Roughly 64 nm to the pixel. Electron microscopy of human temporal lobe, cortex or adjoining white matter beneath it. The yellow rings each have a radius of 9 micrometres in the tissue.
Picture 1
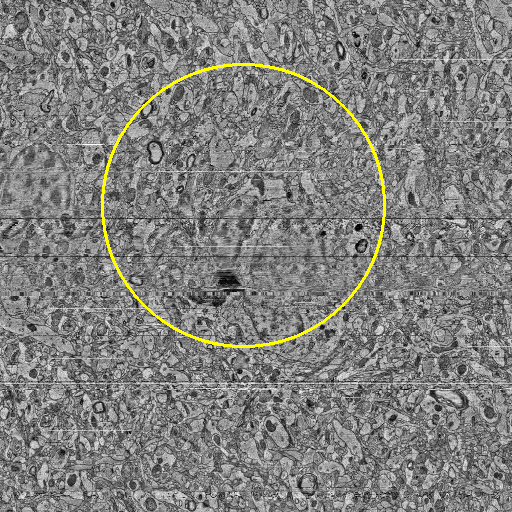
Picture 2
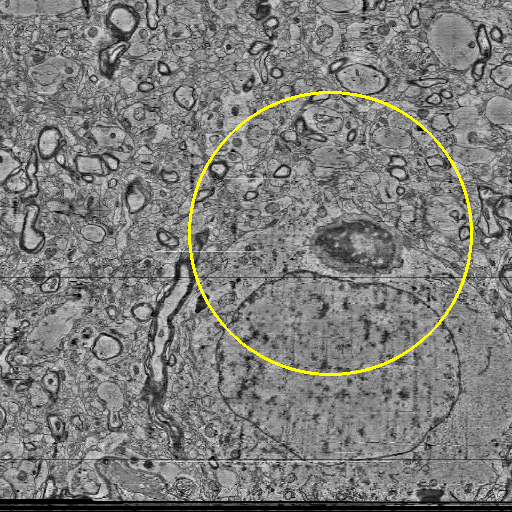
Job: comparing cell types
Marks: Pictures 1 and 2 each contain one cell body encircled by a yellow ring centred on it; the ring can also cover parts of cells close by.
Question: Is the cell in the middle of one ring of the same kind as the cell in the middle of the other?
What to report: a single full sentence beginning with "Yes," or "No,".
Yes, the cell at the ring centre in Picture 1 and its partner in Picture 2 are of one kind.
